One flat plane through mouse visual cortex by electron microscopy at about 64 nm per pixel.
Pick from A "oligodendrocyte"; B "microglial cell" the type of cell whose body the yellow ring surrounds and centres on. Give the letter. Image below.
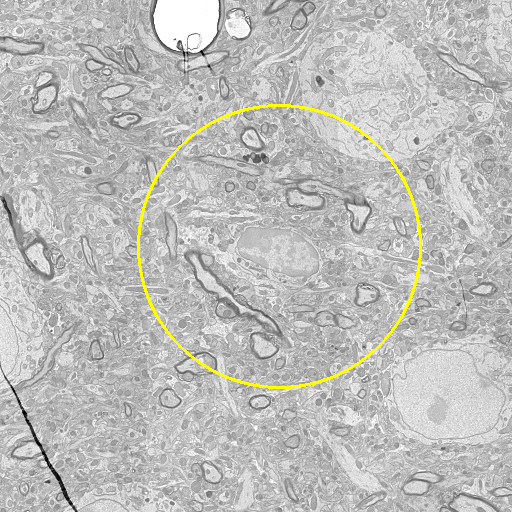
B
